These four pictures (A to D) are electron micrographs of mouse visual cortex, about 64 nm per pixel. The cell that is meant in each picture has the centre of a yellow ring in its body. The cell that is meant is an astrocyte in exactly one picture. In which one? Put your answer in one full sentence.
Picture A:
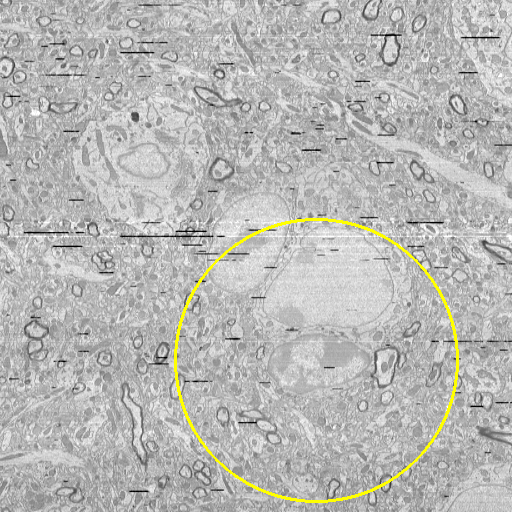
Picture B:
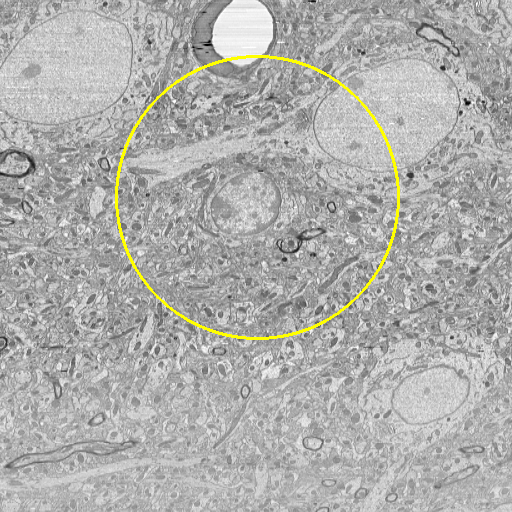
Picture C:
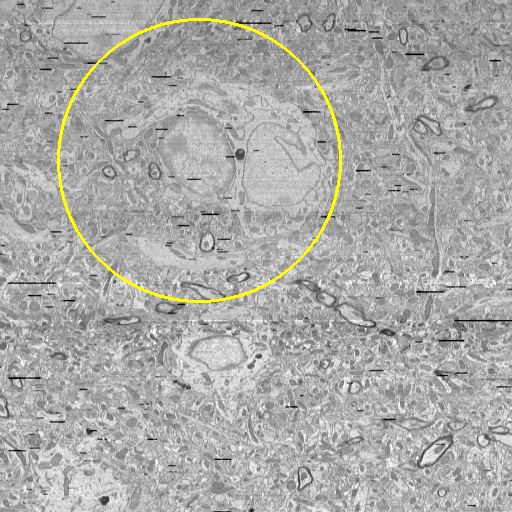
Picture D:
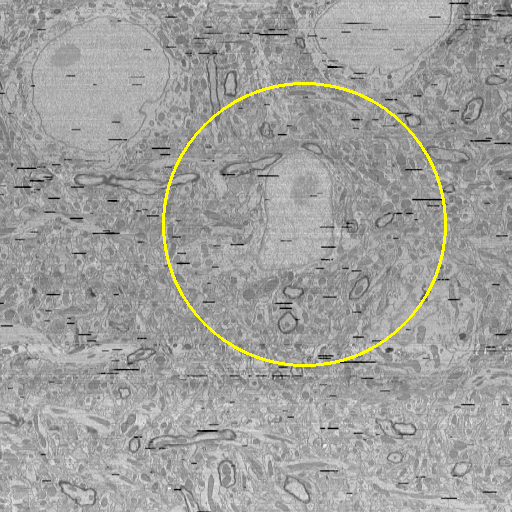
It is picture D that shows the astrocyte.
